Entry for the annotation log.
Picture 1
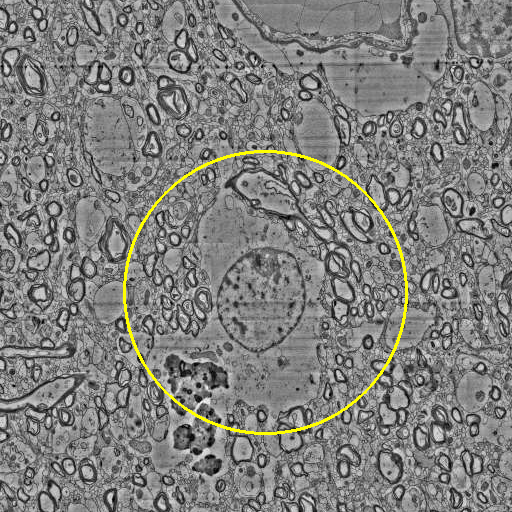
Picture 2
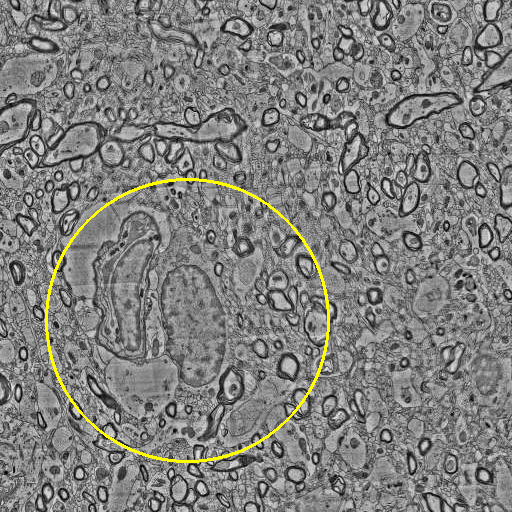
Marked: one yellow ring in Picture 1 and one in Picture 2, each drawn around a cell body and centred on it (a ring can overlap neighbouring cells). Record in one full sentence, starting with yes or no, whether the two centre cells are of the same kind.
No, the two cells are of two kinds.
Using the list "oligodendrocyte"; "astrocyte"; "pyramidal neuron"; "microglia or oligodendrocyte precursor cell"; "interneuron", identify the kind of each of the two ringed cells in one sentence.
The first is an astrocyte and the second is an oligodendrocyte.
